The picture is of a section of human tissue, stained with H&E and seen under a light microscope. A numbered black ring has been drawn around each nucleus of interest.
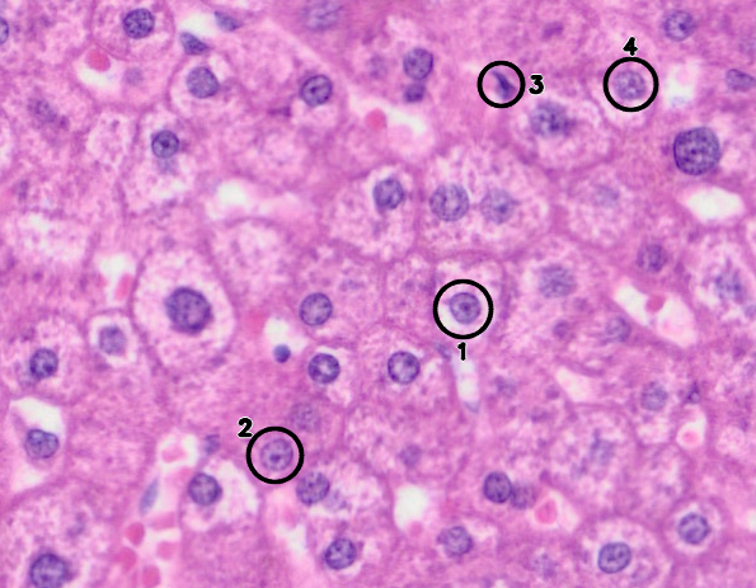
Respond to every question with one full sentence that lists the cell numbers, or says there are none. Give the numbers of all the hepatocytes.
So, the cells with numbers 1, 2 and 4 are hepatocytes.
